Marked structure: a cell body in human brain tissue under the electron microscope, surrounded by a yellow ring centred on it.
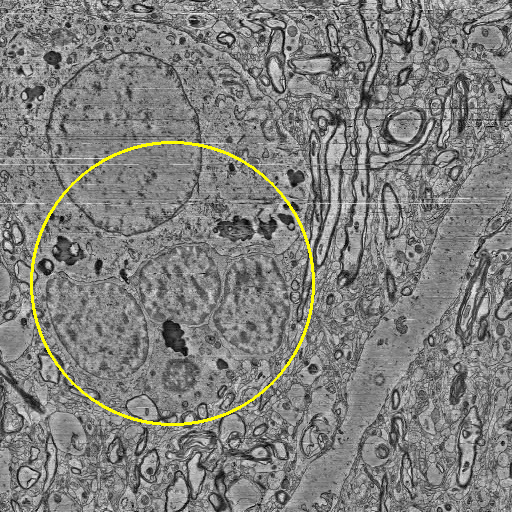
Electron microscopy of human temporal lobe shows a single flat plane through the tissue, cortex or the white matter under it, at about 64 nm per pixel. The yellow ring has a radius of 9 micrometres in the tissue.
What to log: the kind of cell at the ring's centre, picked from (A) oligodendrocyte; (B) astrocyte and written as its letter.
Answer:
A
